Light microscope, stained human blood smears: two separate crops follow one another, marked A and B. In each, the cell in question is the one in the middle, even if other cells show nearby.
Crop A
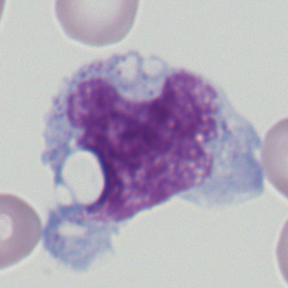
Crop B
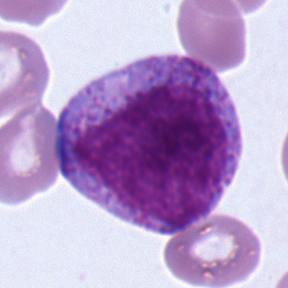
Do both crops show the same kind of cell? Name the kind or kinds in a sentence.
No, crop A shows a monocyte, and crop B, by contrast, shows a promyelocyte.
